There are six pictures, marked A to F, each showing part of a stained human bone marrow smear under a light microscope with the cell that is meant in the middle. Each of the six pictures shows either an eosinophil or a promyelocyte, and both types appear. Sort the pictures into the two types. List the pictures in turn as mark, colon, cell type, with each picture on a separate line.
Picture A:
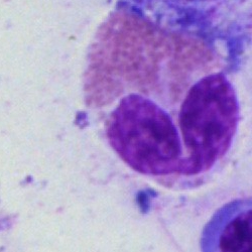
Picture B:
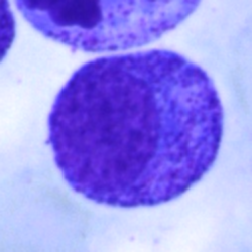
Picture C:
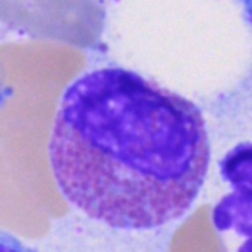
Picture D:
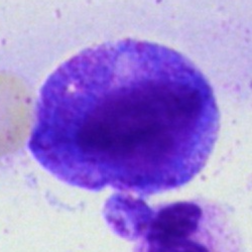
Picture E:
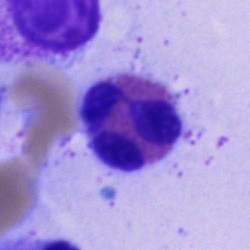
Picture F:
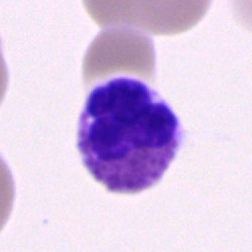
A: eosinophil
B: promyelocyte
C: eosinophil
D: promyelocyte
E: eosinophil
F: eosinophil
